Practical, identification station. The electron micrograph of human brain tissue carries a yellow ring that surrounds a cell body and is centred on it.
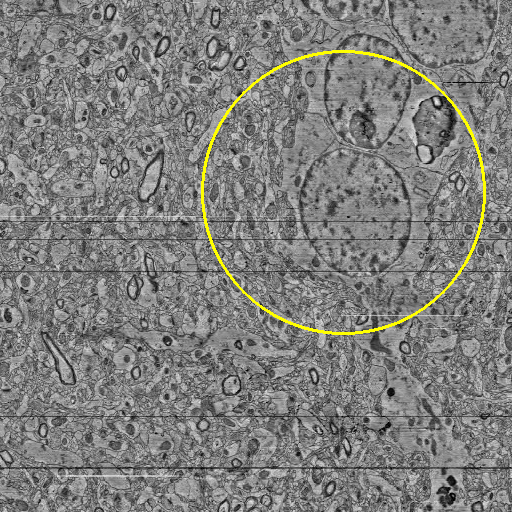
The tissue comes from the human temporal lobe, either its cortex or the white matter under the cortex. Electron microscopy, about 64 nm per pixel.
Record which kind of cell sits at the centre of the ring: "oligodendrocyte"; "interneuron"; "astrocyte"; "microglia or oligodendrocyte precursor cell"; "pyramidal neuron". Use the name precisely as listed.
astrocyte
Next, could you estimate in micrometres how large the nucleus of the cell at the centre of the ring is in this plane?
The ringed cell's nucleus measures approximately 9 by 7 micrometres in this plane.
